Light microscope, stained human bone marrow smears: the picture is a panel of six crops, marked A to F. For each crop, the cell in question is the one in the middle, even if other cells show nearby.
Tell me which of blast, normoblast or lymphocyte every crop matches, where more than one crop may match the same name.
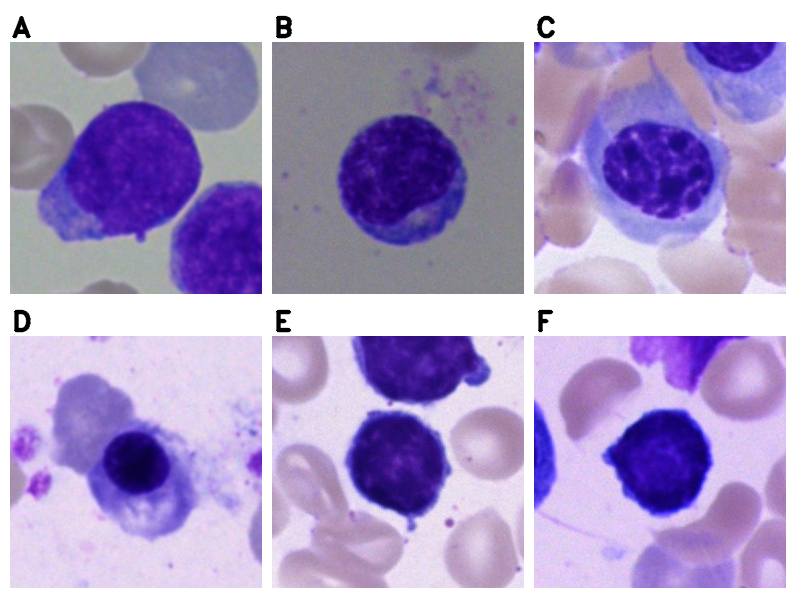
A: blast
B: blast
C: normoblast
D: normoblast
E: lymphocyte
F: lymphocyte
